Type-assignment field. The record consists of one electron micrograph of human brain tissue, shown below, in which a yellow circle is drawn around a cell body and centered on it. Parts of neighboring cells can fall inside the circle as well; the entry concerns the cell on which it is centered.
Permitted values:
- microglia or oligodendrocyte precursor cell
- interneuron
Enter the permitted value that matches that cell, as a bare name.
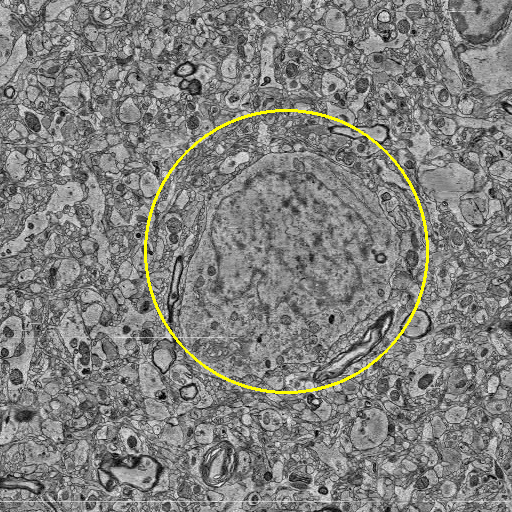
interneuron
